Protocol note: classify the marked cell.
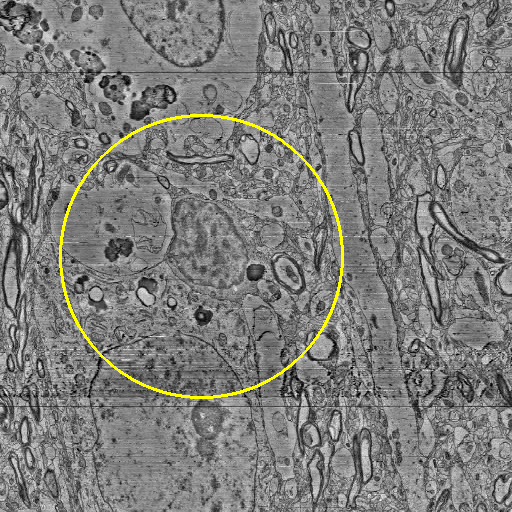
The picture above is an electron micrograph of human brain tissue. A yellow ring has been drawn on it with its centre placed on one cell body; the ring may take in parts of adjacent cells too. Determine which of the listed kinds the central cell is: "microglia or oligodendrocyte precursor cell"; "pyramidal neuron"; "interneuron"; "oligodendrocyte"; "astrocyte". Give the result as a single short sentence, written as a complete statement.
The central cell is an oligodendrocyte.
